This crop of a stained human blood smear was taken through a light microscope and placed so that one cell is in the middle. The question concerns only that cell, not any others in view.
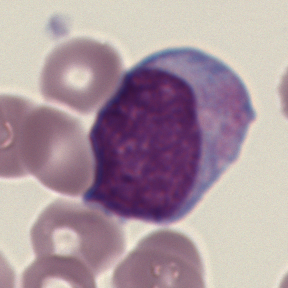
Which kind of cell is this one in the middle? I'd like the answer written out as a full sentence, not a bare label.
The middle cell in this particular crop is an atypical promyelocyte.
